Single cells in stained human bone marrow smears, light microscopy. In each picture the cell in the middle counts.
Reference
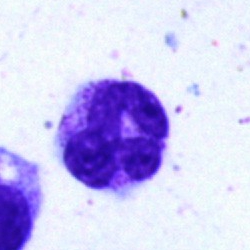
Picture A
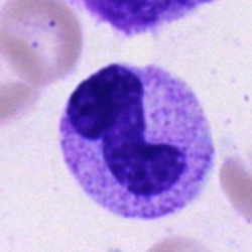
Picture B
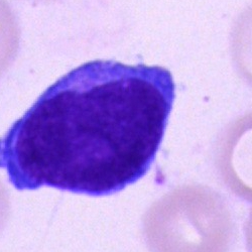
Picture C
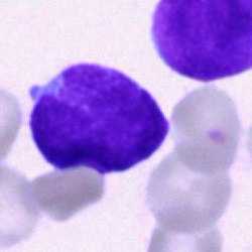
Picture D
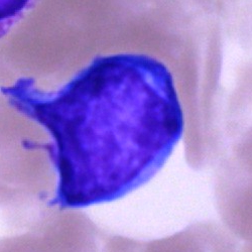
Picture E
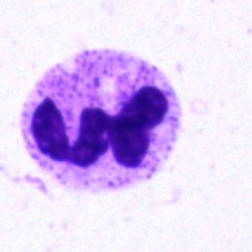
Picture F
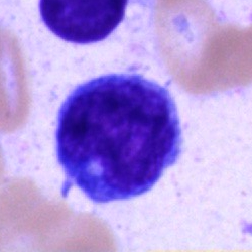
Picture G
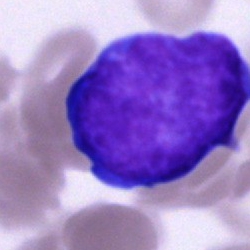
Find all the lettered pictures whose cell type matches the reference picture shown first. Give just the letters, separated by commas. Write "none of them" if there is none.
E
